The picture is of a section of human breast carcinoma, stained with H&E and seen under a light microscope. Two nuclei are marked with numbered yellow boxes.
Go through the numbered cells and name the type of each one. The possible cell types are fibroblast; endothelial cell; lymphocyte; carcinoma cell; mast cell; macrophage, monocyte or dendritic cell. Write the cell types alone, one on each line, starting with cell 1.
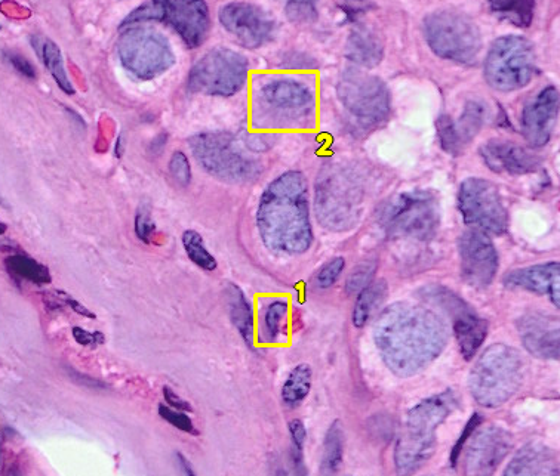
endothelial cell
carcinoma cell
